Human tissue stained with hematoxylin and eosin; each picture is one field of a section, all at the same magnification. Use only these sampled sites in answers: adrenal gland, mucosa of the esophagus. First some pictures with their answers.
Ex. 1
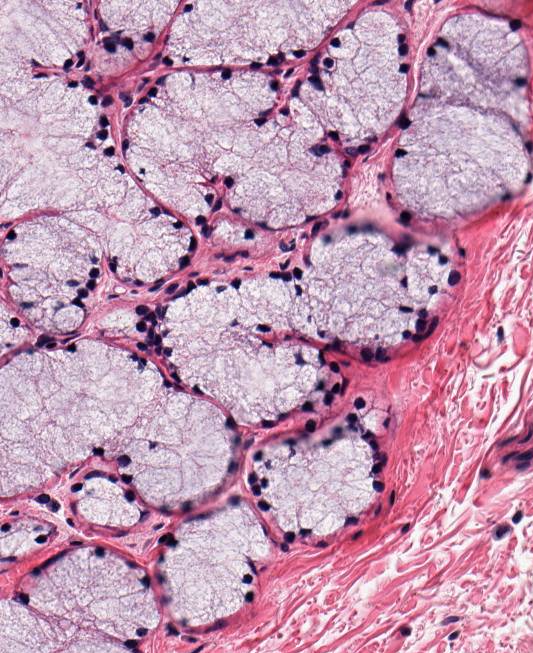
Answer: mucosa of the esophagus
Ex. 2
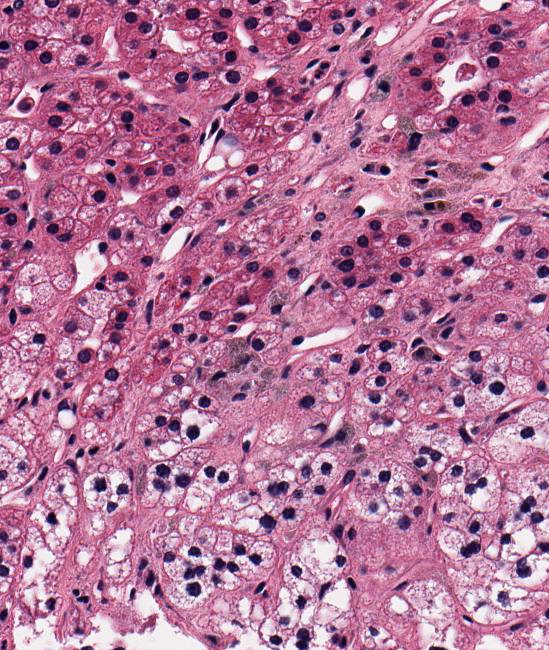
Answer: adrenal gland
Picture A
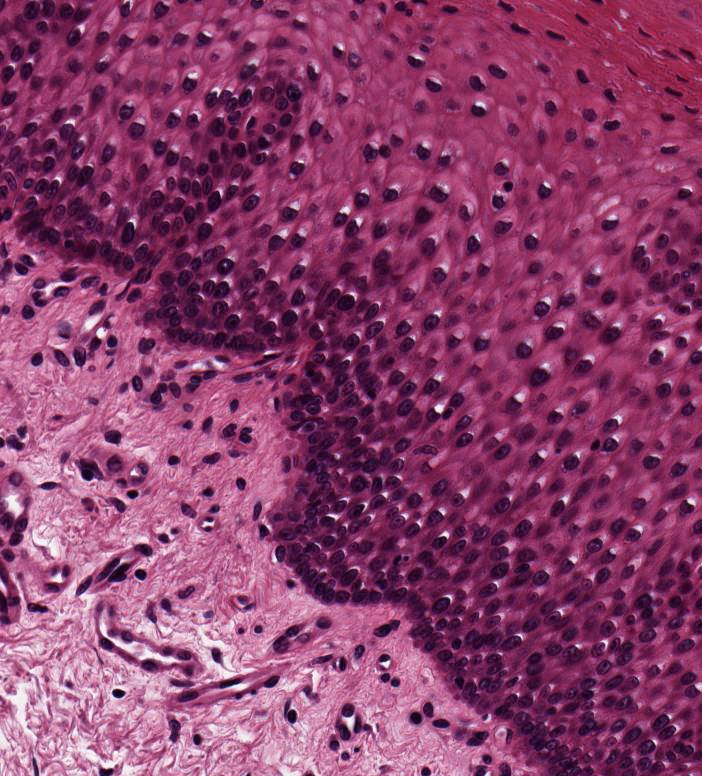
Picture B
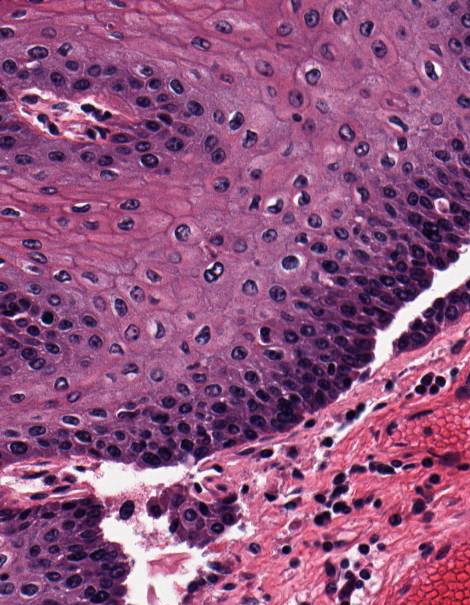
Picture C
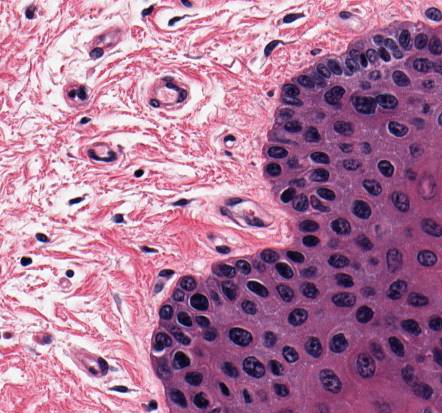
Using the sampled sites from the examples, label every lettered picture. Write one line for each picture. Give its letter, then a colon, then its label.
A: mucosa of the esophagus
B: mucosa of the esophagus
C: mucosa of the esophagus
